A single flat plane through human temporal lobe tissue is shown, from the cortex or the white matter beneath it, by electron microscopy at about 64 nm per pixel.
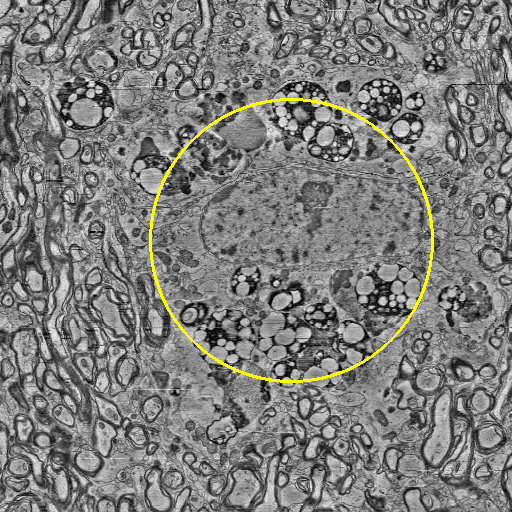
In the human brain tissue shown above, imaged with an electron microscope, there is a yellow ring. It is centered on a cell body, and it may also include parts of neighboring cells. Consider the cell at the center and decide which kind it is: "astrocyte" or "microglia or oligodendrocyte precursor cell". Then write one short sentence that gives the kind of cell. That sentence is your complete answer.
This centered cell body is that of an astrocyte.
